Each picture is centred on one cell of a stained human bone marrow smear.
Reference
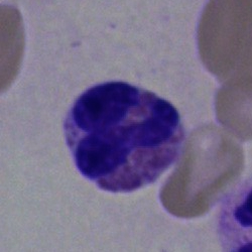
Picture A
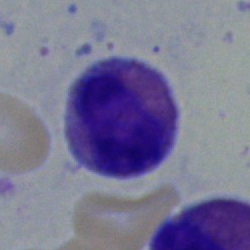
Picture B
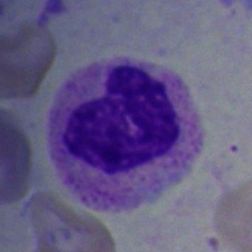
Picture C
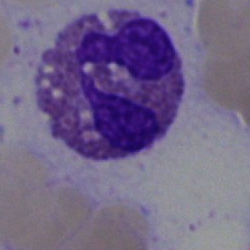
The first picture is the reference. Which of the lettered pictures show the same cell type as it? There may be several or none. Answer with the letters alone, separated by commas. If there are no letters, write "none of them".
A, C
